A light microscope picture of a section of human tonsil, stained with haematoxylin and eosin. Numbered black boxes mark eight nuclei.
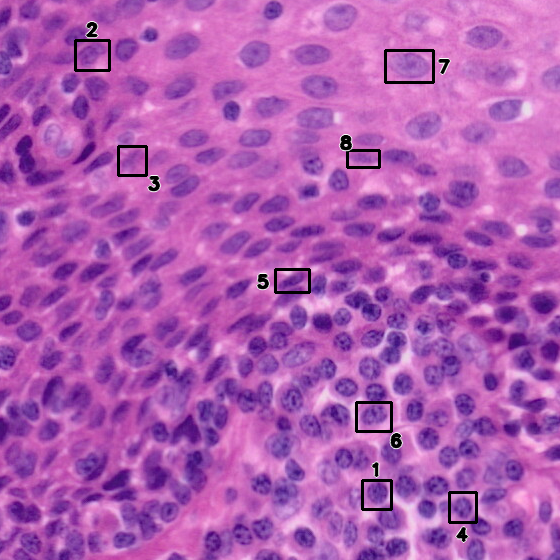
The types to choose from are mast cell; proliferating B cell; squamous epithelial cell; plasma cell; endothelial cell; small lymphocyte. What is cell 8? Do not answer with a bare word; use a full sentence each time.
What the number 8 marks in this field is a squamous epithelial cell.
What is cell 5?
What the number 5 marks in this field is a squamous epithelial cell.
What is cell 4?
The cell bearing label 4 corresponds to a plasma cell.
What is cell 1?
The cell with the number 1 is a plasma cell.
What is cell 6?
The correct answer for cell 6 is a plasma cell.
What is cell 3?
What the number 3 marks in this field is a squamous epithelial cell.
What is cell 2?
The mark numbered 2 indicates the nucleus of a squamous epithelial cell.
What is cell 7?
Regarding cell 7, this one is a squamous epithelial cell.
